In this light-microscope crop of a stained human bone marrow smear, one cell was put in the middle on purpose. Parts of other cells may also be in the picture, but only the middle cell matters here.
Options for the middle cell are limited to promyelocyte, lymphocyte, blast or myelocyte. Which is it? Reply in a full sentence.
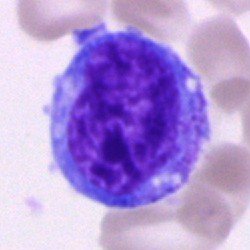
The cell around which this crop is centred is a promyelocyte.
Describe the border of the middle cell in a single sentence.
Instead of a smooth edge, this cell has an irregular one, ragged or with projections.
